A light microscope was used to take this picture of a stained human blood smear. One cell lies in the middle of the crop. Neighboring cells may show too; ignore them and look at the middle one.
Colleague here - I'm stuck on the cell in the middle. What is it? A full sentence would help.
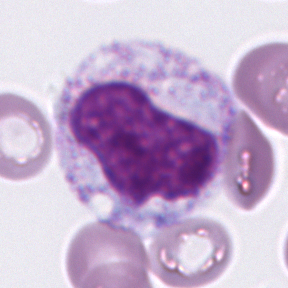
The cell sitting right in the middle is a metamyelocyte.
